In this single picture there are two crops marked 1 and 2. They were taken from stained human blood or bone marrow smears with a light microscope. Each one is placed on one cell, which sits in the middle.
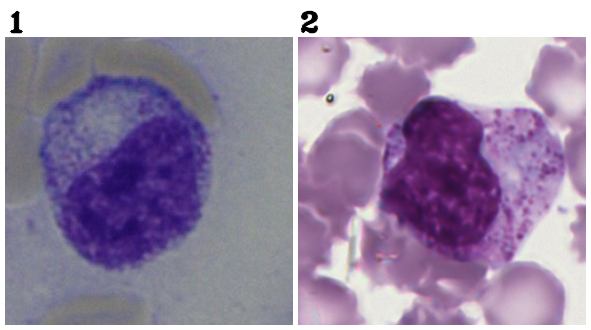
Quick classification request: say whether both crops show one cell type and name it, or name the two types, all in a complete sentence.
Yes, both crops alike show metamyelocytes at the centre.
